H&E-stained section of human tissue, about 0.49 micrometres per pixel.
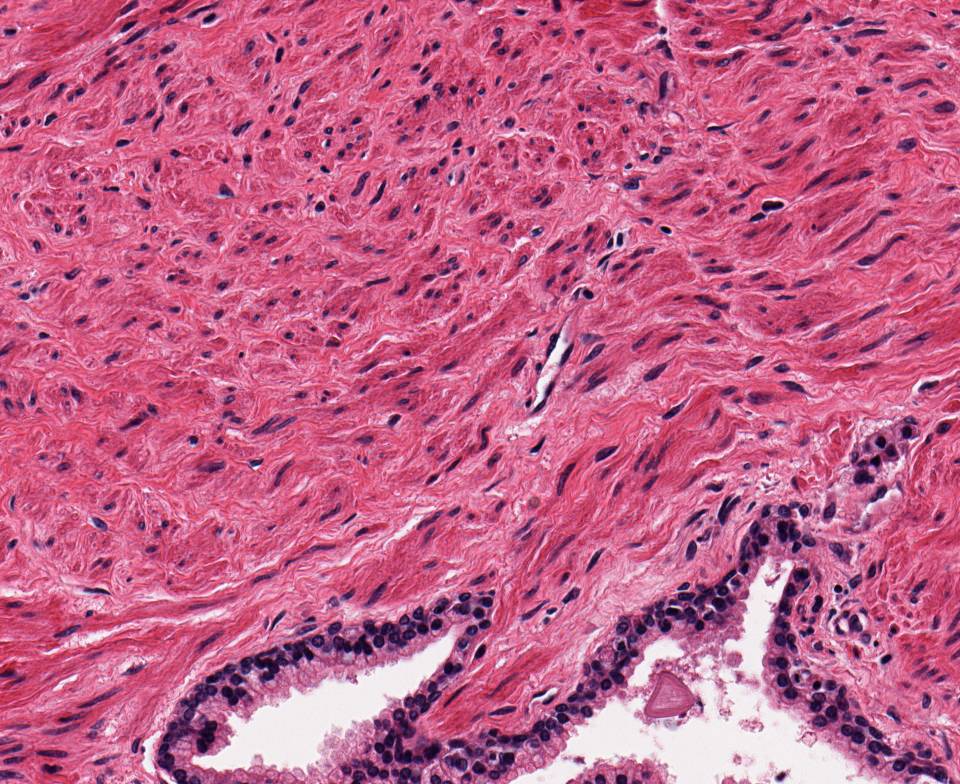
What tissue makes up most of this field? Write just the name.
fibromuscular stroma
